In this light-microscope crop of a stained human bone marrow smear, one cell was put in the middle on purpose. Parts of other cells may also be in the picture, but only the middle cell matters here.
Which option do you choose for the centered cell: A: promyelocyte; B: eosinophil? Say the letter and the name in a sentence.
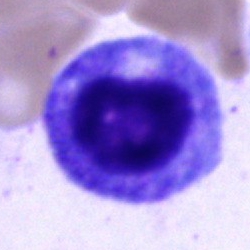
According to option A, which is correct, the cell in the middle is a promyelocyte.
